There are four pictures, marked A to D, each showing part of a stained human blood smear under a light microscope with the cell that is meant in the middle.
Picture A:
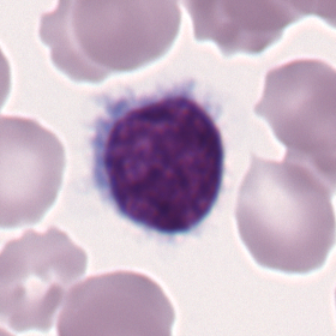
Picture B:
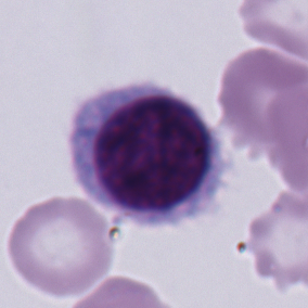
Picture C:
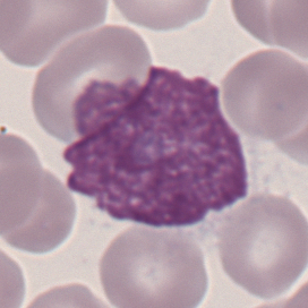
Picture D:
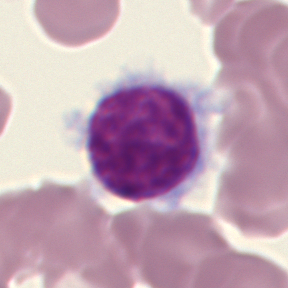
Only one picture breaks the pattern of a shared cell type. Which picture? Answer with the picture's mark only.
C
